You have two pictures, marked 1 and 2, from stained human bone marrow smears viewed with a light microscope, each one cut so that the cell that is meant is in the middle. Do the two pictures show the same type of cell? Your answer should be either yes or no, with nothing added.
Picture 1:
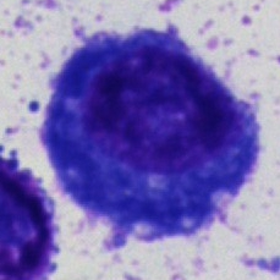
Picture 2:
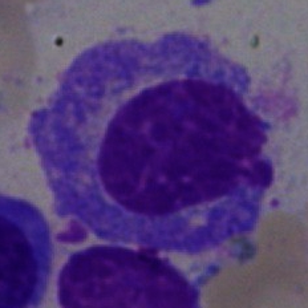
yes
